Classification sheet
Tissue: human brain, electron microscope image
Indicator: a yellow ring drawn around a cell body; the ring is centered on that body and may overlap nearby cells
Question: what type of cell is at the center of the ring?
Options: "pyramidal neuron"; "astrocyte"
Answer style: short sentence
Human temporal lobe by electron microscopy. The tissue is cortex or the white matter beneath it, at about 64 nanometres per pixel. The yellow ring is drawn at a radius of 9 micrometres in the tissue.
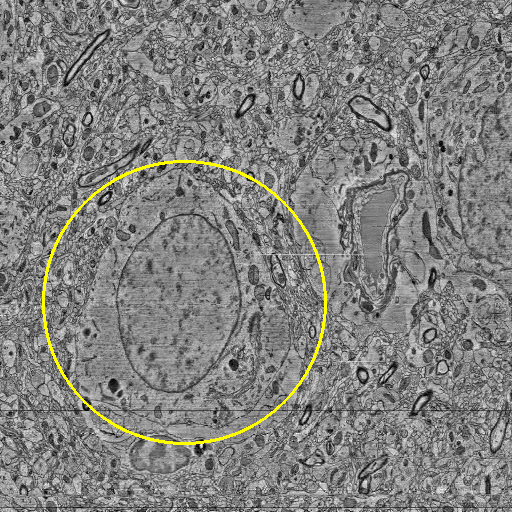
At the ring's center is a pyramidal neuron.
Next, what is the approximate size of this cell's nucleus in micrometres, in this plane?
The nucleus of the ringed cell is approximately 12 by 8 micrometres in this plane.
